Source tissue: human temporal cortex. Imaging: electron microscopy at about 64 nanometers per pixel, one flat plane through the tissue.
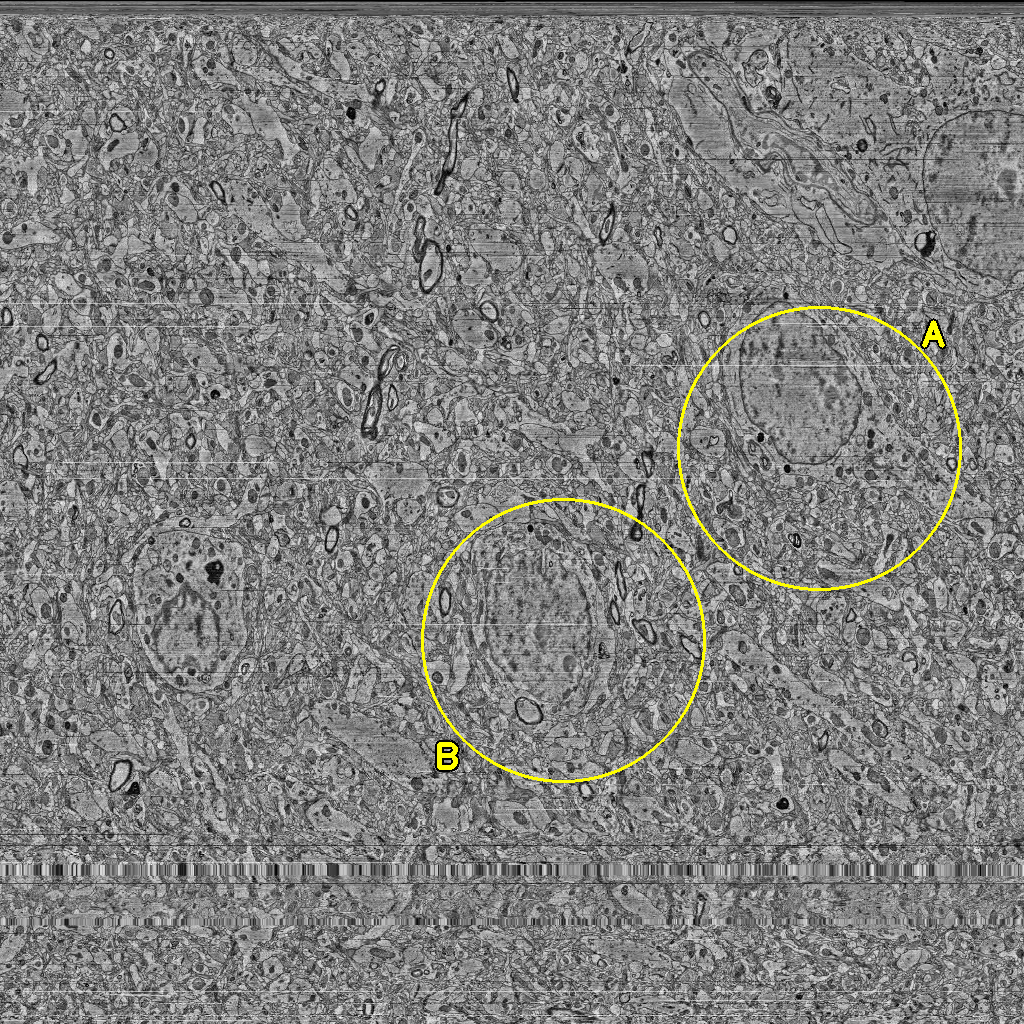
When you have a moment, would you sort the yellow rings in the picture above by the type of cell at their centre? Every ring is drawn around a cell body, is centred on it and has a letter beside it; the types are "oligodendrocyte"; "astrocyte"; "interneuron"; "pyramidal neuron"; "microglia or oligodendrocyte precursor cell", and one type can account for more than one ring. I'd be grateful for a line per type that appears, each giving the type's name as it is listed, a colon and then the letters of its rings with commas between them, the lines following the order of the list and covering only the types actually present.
interneuron: B
pyramidal neuron: A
